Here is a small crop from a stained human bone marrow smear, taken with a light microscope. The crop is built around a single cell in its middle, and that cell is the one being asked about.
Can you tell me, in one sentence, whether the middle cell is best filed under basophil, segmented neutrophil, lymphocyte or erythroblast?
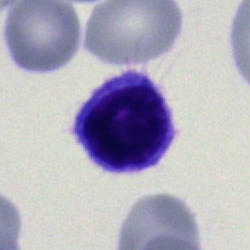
The cell around which this crop is centred is a lymphocyte.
